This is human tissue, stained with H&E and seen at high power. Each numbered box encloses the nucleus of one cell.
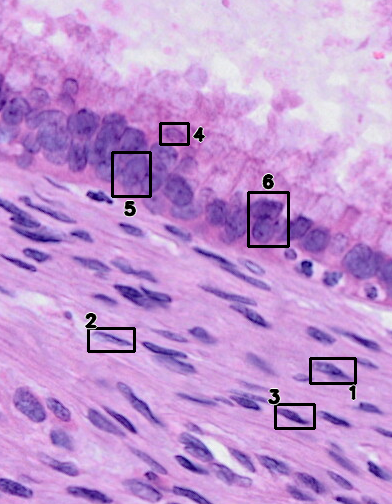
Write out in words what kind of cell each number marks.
Cell 1 is a fibroblast, cell 2 is a fibroblast, cell 3 is a fibroblast, cell 4 is a secretory epithelial cell, cell 5 is a secretory epithelial cell and cell 6 is a secretory epithelial cell.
